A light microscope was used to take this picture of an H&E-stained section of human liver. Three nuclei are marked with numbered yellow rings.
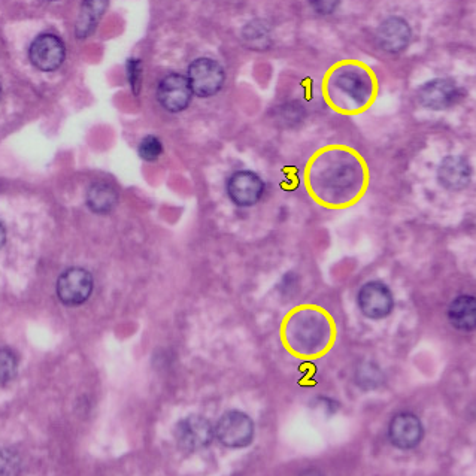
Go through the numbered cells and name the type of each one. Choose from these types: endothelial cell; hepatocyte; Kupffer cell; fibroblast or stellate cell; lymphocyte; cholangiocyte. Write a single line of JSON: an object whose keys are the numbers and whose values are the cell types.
{"1": "Kupffer cell", "2": "hepatocyte", "3": "hepatocyte"}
